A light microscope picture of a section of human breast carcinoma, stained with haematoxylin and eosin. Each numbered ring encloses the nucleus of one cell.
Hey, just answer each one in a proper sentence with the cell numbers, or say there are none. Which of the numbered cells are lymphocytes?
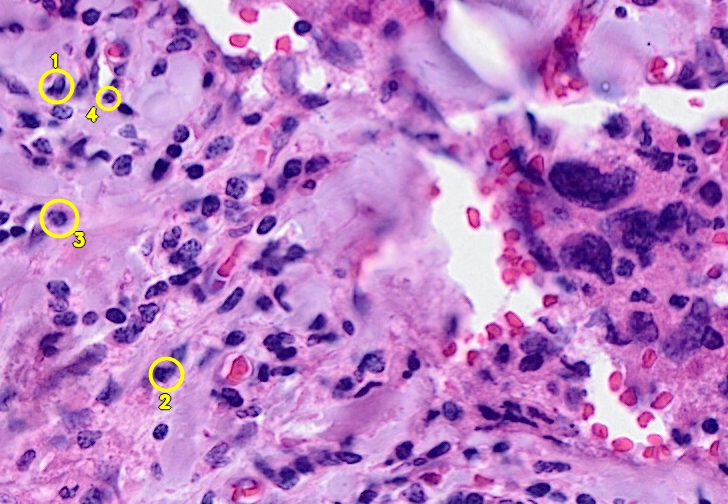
Classified as lymphocytes are the cells numbered 1, 2 and 4.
